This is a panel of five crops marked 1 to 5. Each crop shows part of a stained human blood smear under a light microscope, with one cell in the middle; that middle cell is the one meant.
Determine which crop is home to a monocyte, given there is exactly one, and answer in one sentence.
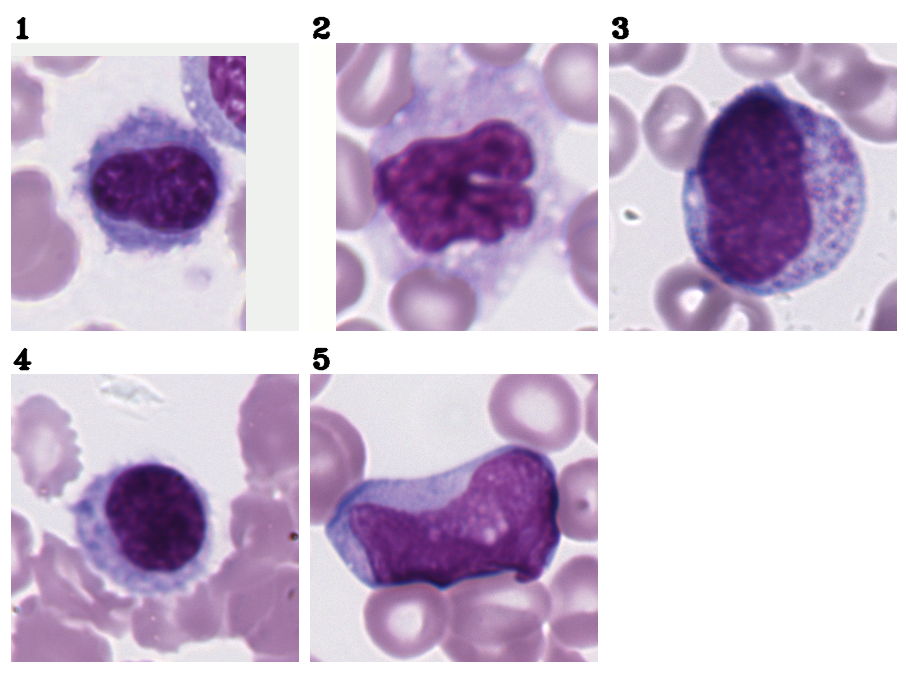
The crop bearing a monocyte is crop 2.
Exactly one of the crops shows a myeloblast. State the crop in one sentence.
Here the crop that shows a myeloblast is crop 5.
